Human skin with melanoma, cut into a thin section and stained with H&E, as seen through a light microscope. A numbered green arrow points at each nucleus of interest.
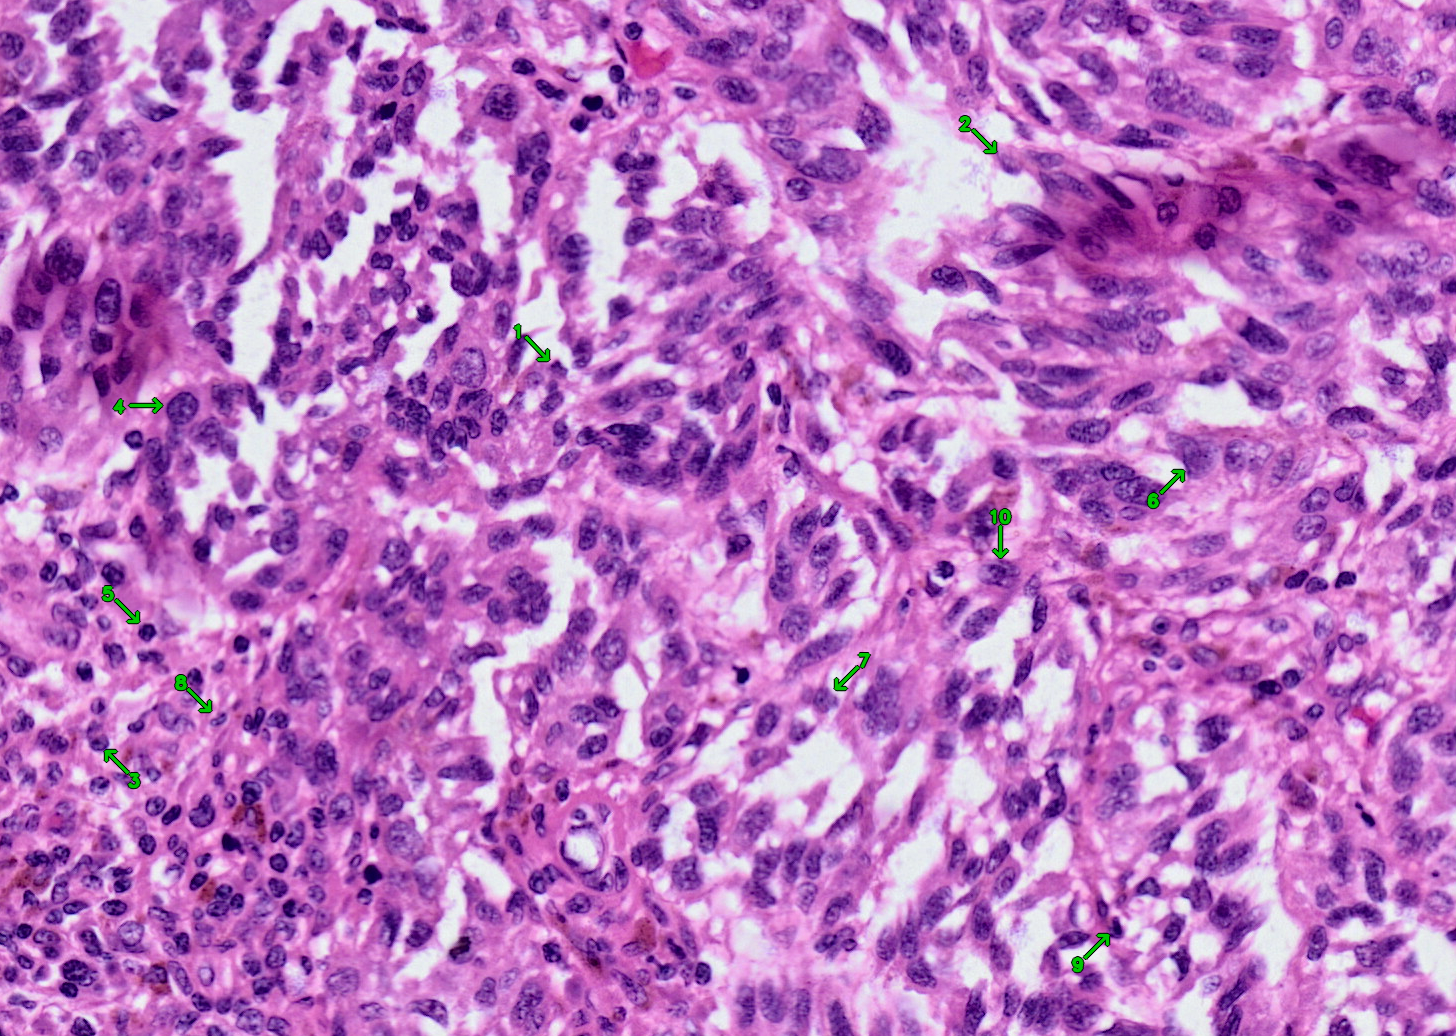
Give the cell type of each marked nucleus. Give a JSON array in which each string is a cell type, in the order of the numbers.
["melanoma cell", "melanoma cell", "lymphocyte", "melanoma cell", "lymphocyte", "melanoma cell", "melanoma cell", "lymphocyte", "lymphocyte", "melanoma cell"]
